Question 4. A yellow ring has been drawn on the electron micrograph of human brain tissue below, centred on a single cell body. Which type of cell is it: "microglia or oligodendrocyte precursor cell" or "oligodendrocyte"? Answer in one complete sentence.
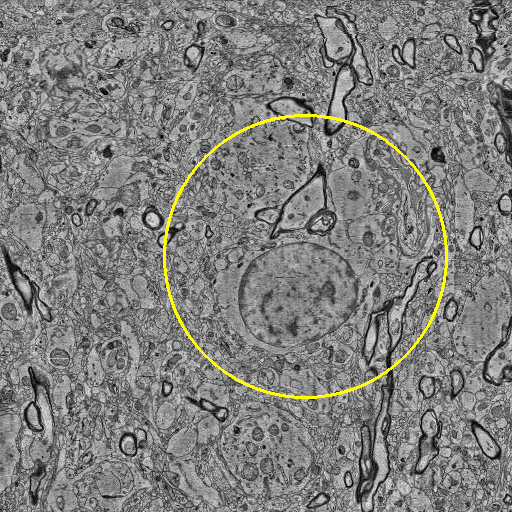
This cell body belongs to a microglial cell or oligodendrocyte precursor cell.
